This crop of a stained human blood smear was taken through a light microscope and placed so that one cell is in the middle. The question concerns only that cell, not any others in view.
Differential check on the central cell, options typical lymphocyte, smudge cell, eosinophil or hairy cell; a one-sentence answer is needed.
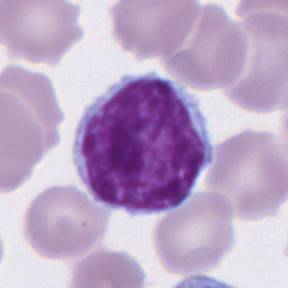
Among the cells in view, the one in the middle is a typical lymphocyte.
